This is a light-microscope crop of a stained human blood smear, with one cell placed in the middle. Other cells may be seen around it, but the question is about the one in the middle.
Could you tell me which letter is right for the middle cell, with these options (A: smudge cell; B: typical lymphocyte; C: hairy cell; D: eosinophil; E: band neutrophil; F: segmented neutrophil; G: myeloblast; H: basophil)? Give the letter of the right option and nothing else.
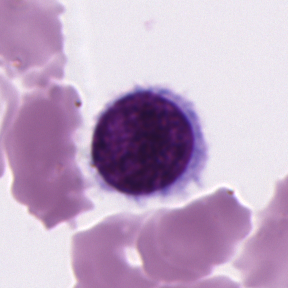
C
